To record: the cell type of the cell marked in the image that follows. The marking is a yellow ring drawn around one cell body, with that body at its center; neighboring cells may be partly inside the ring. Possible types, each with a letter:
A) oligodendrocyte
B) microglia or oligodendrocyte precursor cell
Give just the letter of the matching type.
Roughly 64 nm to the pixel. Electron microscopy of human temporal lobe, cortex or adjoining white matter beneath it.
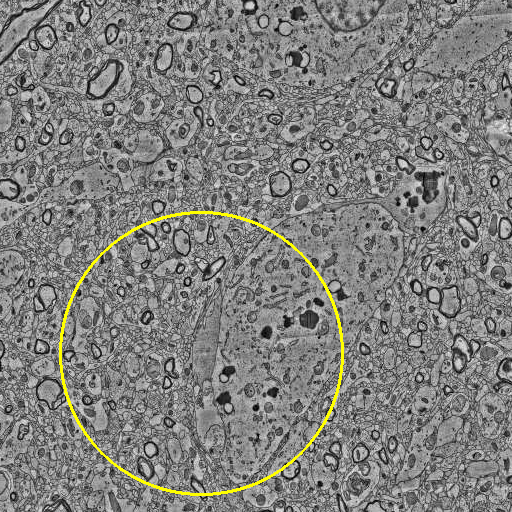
A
